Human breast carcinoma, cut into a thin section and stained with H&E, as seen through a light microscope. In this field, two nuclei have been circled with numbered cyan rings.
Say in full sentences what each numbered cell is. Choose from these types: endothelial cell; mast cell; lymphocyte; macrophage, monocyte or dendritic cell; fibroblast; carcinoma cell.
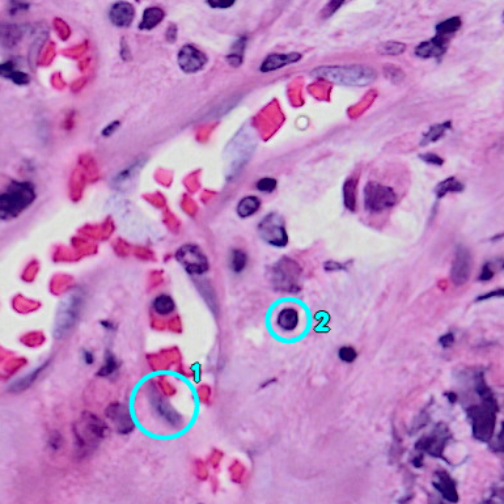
Cell 1 is an endothelial cell. Cell 2 is a lymphocyte.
